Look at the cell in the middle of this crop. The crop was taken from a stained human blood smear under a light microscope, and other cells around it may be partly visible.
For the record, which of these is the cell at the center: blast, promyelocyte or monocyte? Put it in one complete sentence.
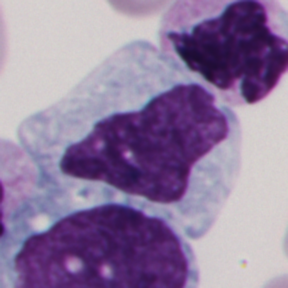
The single cell at the center of the crop is a monocyte.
